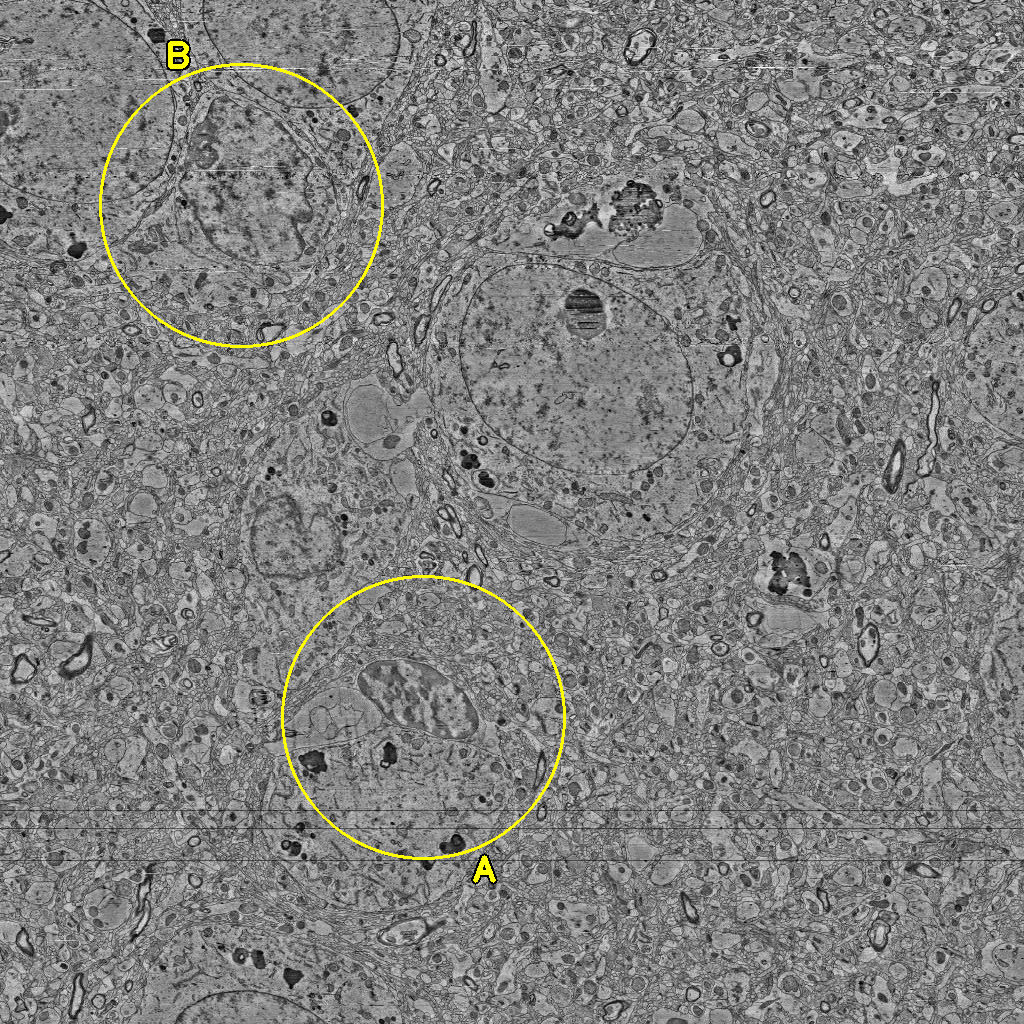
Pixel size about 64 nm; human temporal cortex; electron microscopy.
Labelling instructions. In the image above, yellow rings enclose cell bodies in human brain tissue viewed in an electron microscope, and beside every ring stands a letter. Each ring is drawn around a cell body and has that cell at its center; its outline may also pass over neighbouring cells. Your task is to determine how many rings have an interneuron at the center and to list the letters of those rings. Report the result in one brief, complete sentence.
Only one ring, the ring lettered B, is centred on an interneuron.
